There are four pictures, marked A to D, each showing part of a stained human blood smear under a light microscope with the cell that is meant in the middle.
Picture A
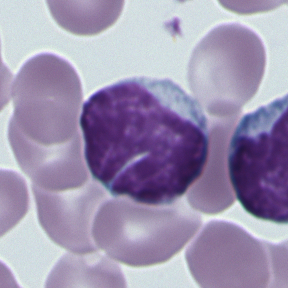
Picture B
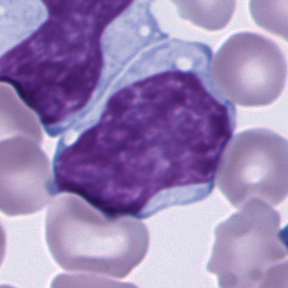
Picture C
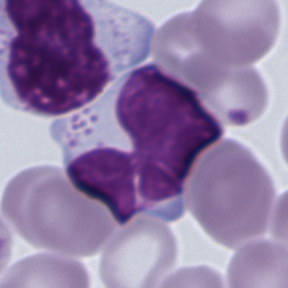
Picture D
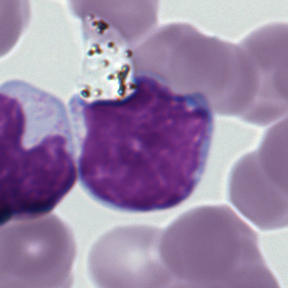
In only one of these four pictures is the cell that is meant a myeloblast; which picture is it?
B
